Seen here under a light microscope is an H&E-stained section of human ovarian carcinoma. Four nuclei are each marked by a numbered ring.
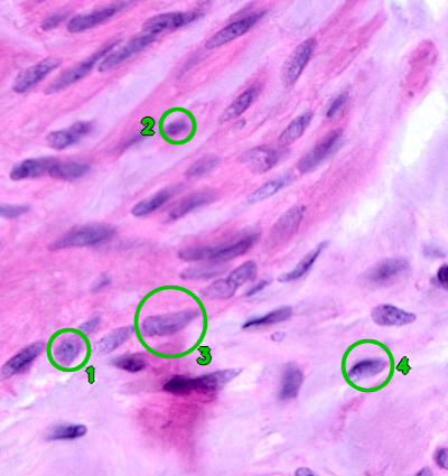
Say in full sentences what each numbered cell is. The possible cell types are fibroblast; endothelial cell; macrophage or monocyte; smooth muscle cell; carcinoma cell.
Cells 1, 2 and 3 are smooth muscle cells. Cell 4 is a fibroblast.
